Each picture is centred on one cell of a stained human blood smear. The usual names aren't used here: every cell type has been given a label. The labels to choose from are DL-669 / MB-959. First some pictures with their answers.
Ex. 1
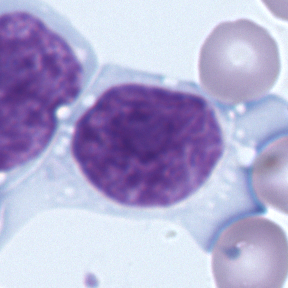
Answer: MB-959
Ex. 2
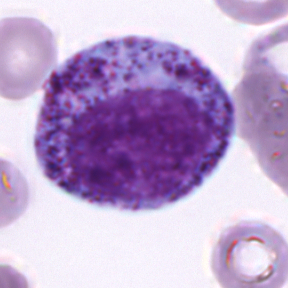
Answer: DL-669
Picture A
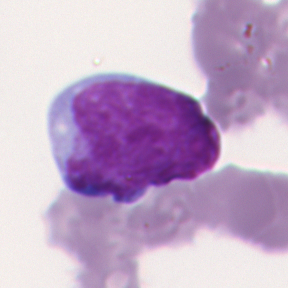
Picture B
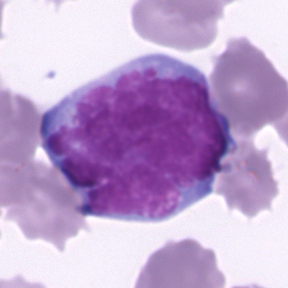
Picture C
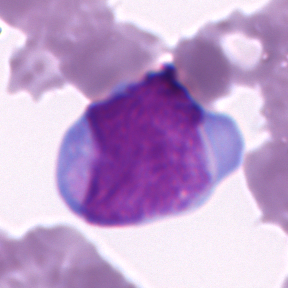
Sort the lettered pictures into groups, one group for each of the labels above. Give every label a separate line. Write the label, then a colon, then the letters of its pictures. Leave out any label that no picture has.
MB-959: A, B, C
